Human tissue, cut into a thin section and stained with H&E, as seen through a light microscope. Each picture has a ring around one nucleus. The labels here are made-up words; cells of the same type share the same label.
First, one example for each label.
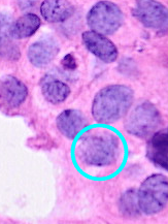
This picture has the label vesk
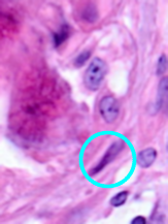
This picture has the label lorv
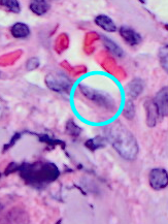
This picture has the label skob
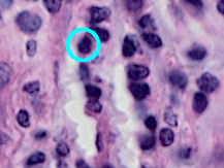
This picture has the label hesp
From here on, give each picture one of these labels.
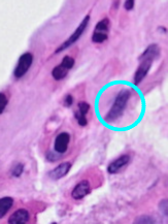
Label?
lorv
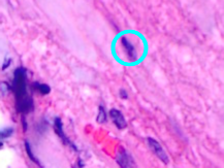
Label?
lorv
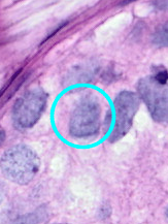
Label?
vesk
